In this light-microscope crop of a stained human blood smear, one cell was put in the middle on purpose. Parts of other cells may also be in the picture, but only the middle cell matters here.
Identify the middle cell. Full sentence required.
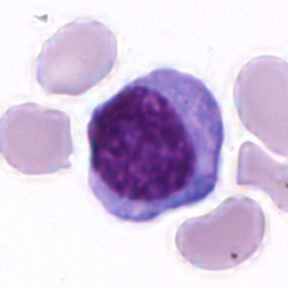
The cell at the centre of the field is a plasma cell.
